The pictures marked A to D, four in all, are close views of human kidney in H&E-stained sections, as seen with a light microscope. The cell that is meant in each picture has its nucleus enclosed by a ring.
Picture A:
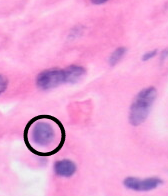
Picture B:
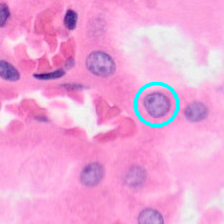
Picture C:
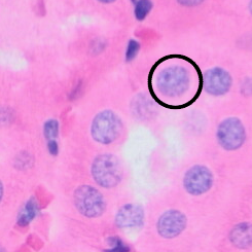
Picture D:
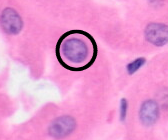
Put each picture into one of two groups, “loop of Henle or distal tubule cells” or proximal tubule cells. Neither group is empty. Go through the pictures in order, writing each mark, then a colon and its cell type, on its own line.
A: loop of Henle or distal tubule cell
B: proximal tubule cell
C: loop of Henle or distal tubule cell
D: proximal tubule cell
